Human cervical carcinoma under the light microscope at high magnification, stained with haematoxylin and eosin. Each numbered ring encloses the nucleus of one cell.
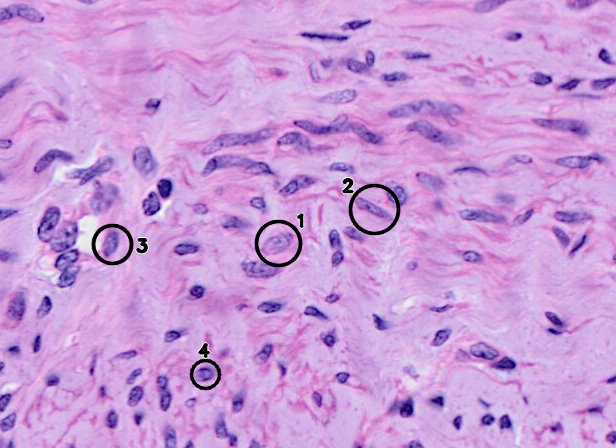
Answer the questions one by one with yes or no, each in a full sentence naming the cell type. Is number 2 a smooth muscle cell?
Yes, the cell labelled with number 2 is a smooth muscle cell.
